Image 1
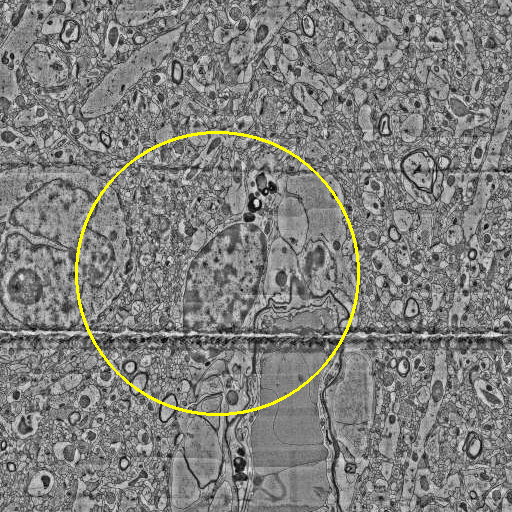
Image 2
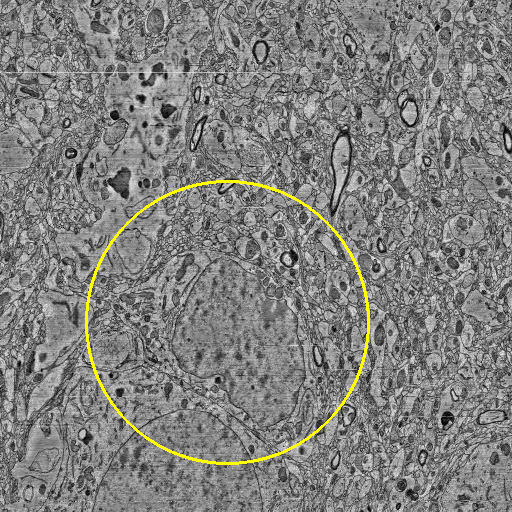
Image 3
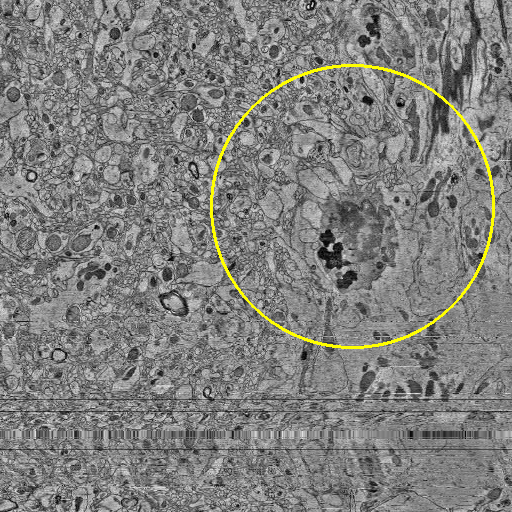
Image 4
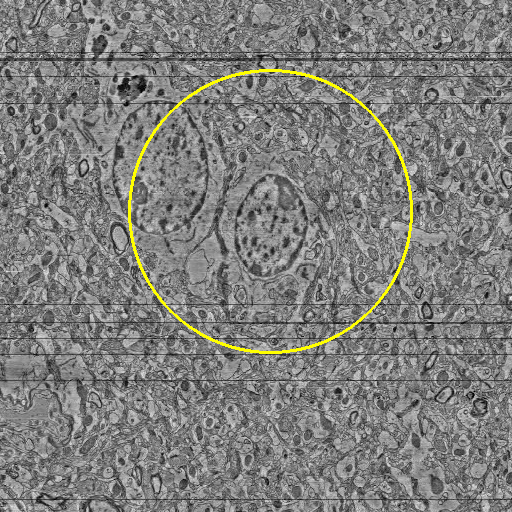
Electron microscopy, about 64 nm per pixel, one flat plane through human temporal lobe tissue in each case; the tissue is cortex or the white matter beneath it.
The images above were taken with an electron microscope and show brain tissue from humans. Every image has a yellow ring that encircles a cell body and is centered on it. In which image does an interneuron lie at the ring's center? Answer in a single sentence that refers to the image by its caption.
In Image 2, the cell at the center of the yellow ring is the correct match.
